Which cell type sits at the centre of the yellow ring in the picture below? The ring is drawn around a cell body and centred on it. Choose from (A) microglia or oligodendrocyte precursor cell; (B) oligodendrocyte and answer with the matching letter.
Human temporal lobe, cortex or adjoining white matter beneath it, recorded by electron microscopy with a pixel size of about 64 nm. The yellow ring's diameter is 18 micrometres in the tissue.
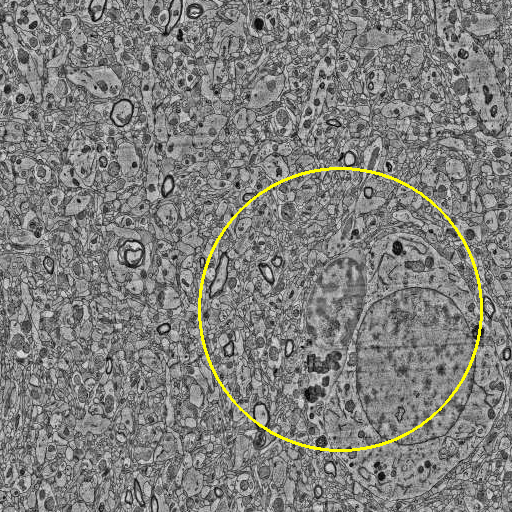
B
